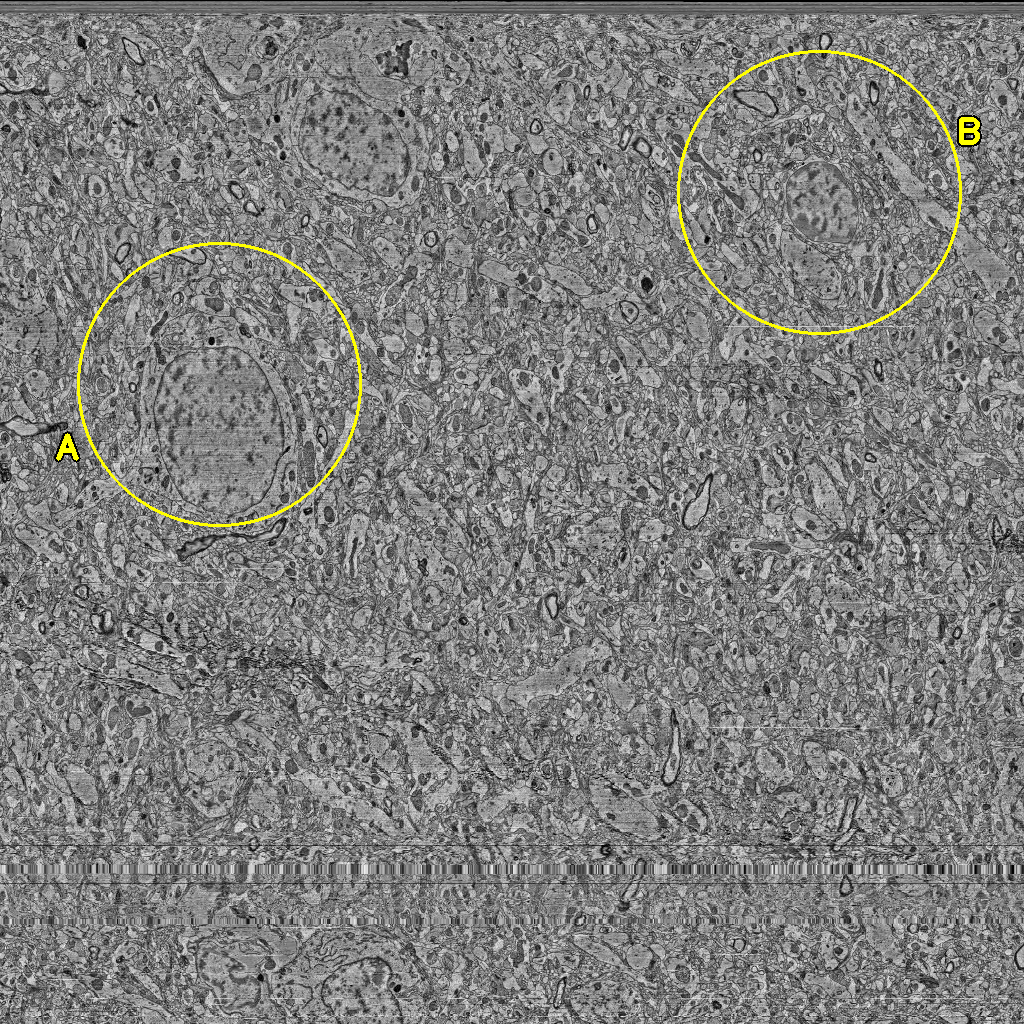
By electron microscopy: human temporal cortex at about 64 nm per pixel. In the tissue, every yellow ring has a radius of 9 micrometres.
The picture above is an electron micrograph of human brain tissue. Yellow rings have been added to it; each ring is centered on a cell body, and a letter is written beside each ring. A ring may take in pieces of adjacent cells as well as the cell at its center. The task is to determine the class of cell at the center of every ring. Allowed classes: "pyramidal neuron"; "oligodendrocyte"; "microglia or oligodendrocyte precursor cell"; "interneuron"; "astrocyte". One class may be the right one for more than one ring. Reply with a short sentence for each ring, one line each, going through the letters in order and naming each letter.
Ring A is centered on a pyramidal neuron.
Ring B is centered on a microglial cell or oligodendrocyte precursor cell.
